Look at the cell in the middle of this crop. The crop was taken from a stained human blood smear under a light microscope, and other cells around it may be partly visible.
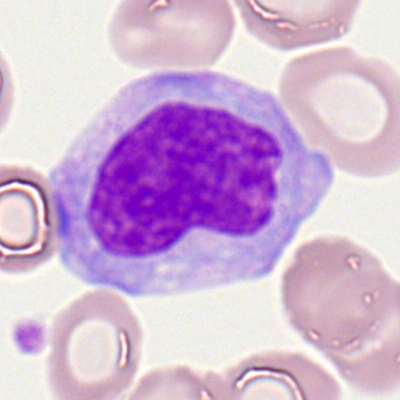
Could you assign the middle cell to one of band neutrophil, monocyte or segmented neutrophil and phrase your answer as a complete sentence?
Located at the centre of the crop is a monocyte.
